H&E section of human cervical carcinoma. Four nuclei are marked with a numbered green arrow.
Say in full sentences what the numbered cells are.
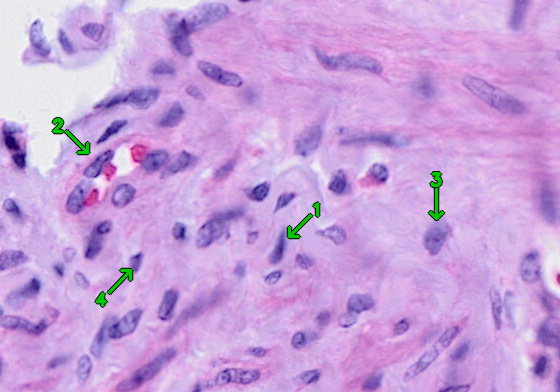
Cells 1, 3 and 4 are fibroblasts. Cell 2 is an endothelial cell.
